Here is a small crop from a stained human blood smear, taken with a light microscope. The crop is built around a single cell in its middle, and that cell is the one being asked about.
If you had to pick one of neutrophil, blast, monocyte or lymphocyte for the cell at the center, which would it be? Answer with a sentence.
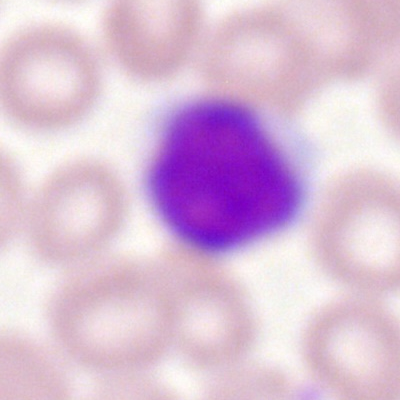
Centred in the crop is a lymphocyte.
